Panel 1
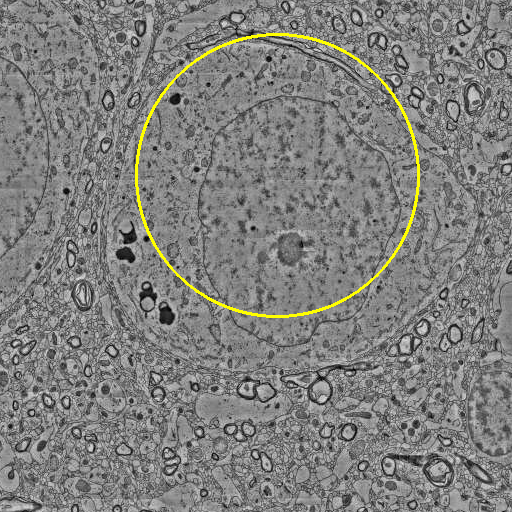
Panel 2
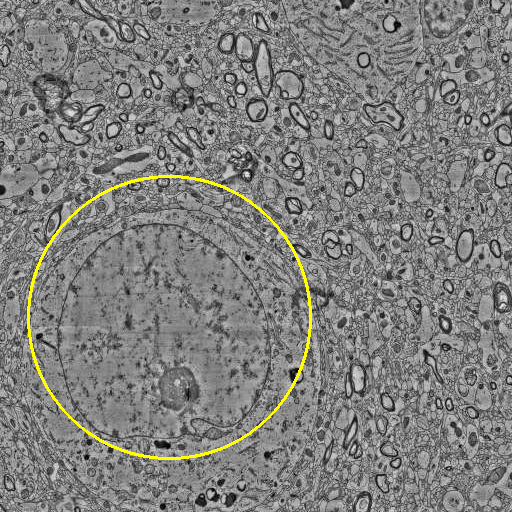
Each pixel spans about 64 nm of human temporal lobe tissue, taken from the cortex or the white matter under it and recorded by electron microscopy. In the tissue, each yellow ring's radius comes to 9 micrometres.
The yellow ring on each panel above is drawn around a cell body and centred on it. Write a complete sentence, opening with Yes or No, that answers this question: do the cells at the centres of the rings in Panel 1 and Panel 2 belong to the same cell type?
Yes, both cells belong to the same cell type.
